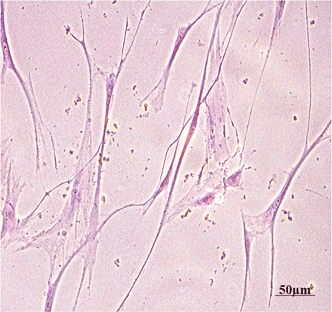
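These are cultured cells stained pink to purple. They lie sparsely spread, with small, elongated or angular cell bodies and very long, thin processes that run far across the field and sometimes touch neighbouring cells. Much of the background between the cells is empty.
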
